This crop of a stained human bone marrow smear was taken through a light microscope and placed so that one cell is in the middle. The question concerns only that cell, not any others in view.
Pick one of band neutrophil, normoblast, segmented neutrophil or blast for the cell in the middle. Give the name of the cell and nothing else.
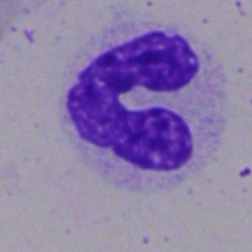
band neutrophil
